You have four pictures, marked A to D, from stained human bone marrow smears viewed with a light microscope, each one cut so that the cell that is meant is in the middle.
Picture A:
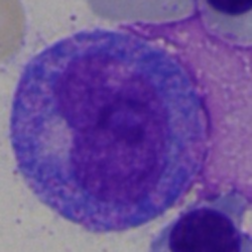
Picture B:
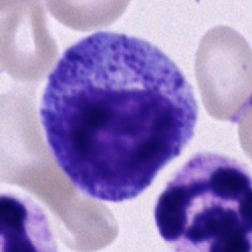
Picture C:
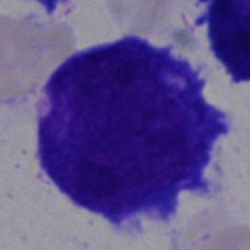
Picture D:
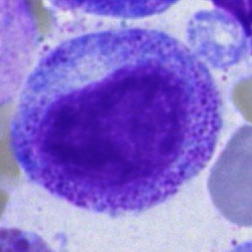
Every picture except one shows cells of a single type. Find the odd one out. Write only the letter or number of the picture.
C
